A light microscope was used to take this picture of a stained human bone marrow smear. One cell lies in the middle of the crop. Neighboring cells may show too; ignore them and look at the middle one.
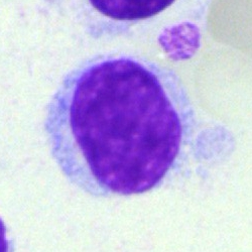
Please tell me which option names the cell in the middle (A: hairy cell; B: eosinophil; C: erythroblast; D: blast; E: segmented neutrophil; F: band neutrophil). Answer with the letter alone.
A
